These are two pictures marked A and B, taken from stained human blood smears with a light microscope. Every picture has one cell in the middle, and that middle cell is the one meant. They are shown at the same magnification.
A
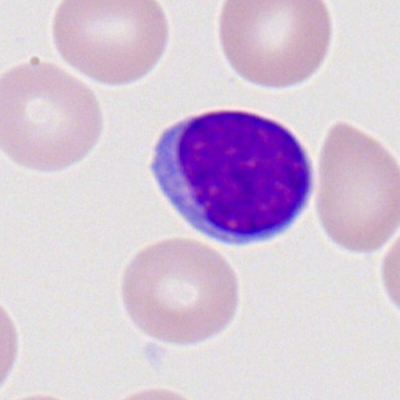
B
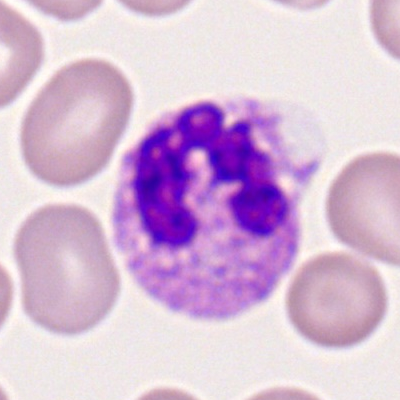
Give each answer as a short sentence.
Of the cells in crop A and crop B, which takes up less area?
It is the cell in crop A; the cell in crop B has about 2 times its area.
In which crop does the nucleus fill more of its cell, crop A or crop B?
In crop A the nucleus takes up the larger part of its cell.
